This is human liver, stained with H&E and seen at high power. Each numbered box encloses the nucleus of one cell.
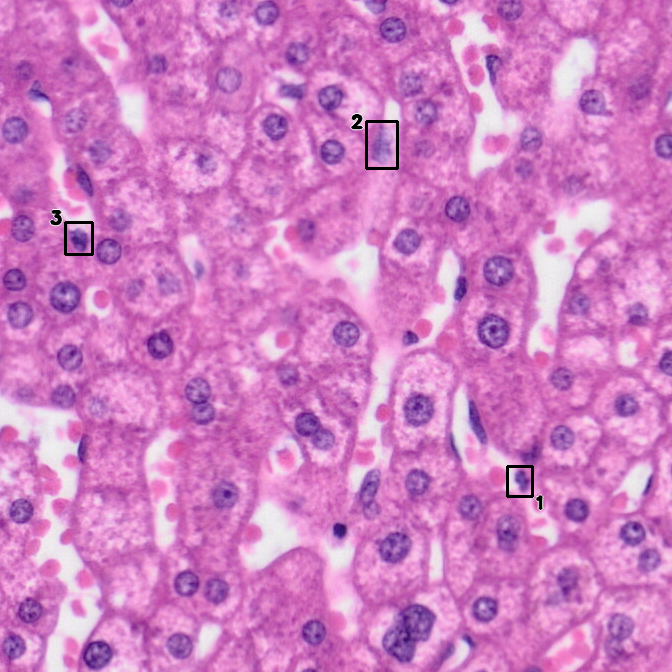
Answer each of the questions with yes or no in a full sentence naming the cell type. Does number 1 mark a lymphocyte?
Yes, number 1 corresponds to a lymphocyte.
